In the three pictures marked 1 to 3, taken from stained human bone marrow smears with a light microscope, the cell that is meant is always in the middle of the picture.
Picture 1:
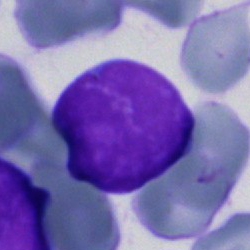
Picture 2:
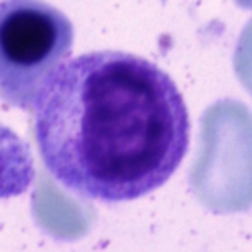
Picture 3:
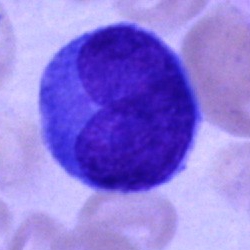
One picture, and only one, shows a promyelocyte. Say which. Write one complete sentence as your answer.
Picture 2 is the one that shows the promyelocyte.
